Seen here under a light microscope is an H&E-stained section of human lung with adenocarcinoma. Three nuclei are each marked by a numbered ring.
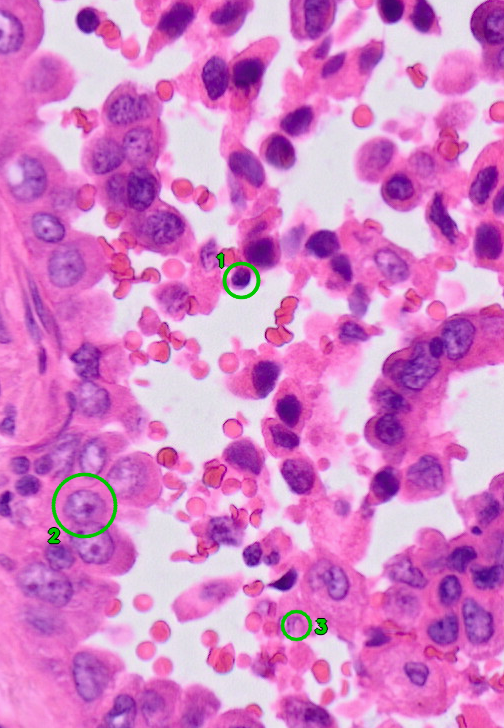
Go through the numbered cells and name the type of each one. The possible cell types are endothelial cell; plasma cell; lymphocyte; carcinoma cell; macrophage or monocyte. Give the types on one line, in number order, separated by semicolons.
lymphocyte; carcinoma cell; macrophage or monocyte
